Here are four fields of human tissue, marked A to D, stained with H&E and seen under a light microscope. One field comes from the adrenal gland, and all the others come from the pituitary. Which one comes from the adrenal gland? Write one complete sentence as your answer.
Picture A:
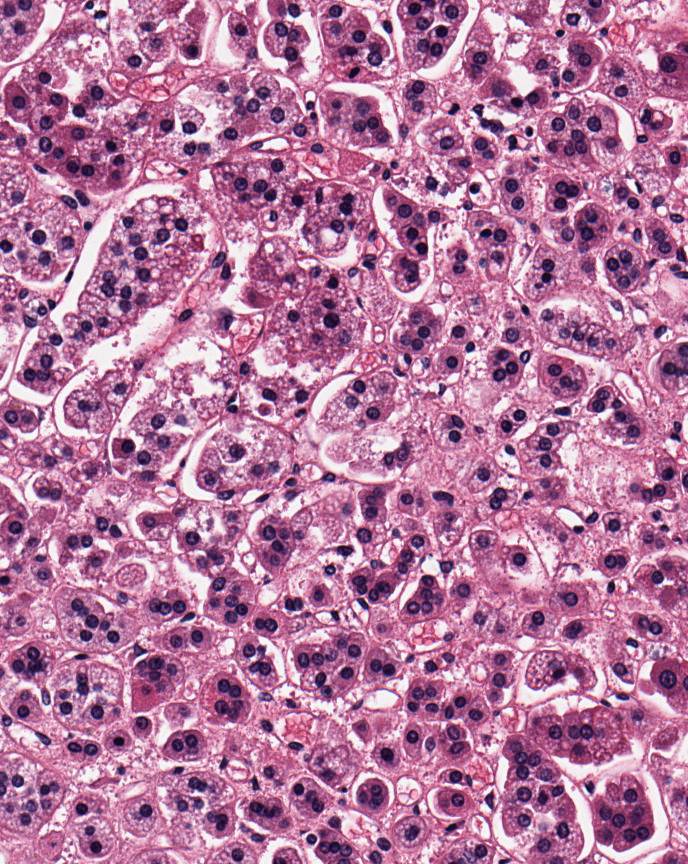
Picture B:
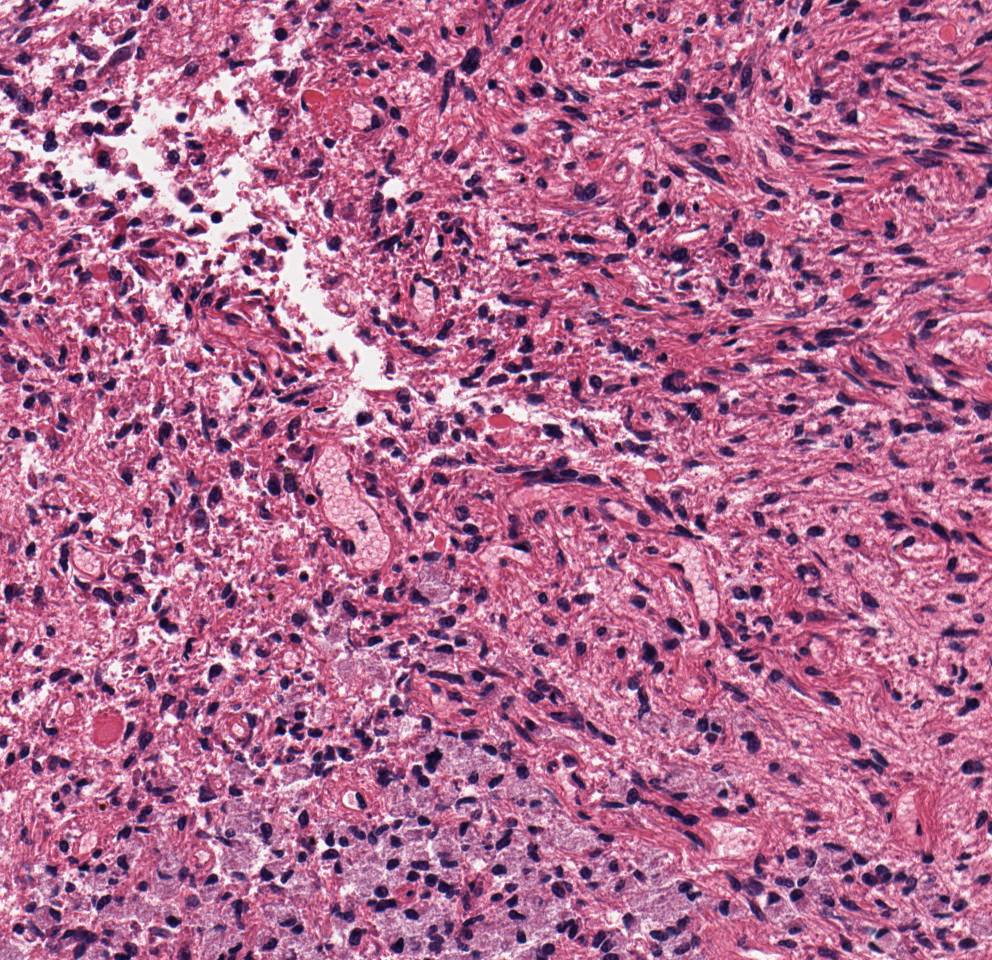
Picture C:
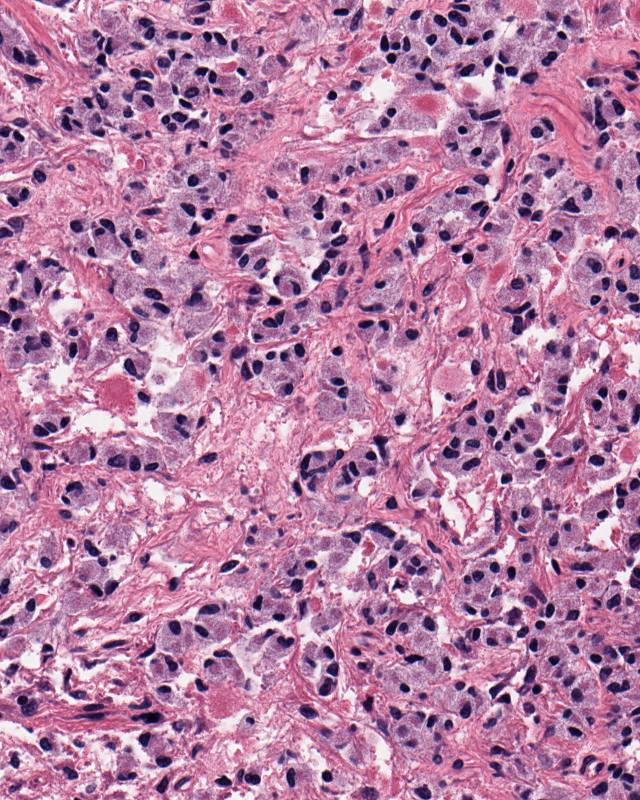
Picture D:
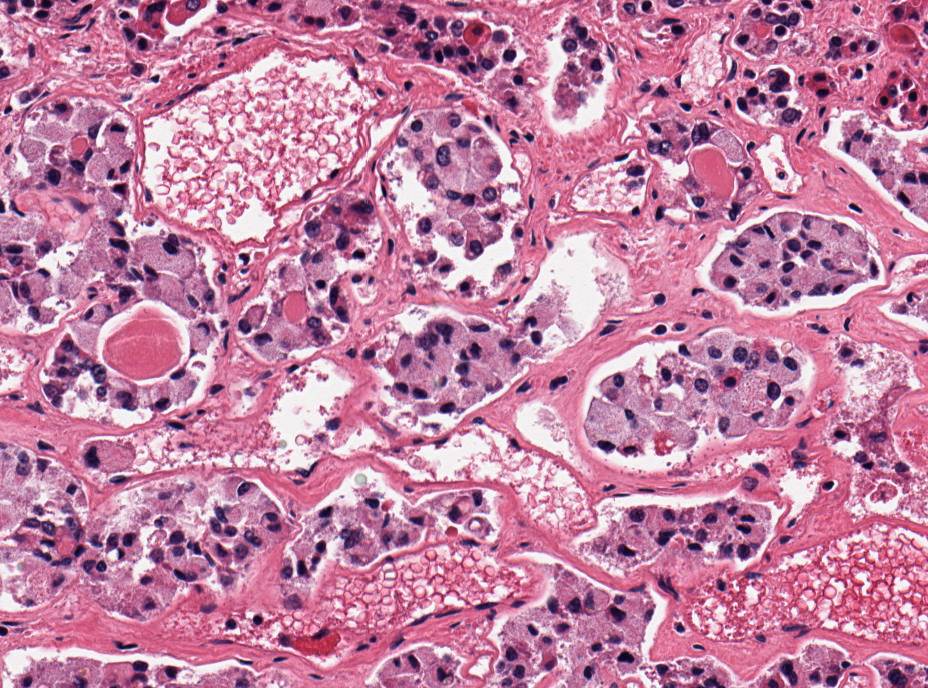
The one that comes from the adrenal gland is picture A.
